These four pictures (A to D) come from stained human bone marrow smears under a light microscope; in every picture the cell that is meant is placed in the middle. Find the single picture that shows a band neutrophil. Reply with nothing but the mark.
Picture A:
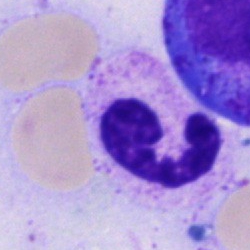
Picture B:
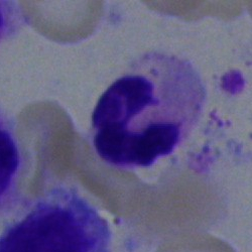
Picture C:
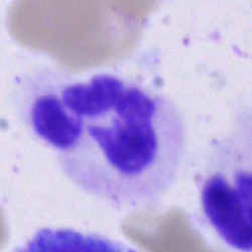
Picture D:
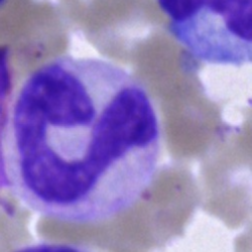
D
